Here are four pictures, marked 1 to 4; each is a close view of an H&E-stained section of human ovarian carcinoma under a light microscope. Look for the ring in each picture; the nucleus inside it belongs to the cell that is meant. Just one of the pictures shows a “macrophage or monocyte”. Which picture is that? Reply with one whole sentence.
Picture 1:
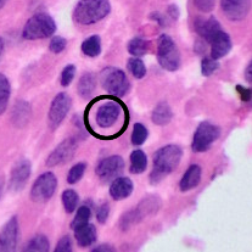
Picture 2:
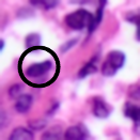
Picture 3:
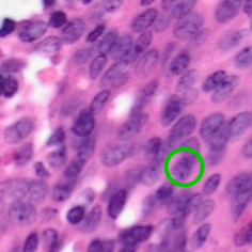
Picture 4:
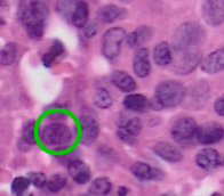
The cell in picture 1 is the “macrophage or monocyte”.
